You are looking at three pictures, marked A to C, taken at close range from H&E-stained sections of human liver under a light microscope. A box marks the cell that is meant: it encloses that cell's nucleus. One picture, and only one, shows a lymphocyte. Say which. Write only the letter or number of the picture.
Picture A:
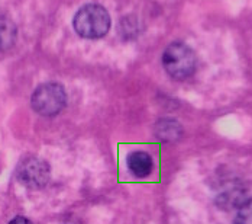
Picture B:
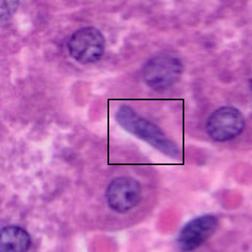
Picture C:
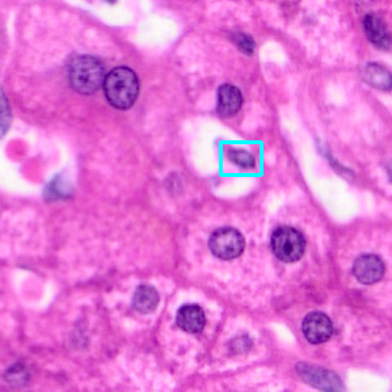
A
